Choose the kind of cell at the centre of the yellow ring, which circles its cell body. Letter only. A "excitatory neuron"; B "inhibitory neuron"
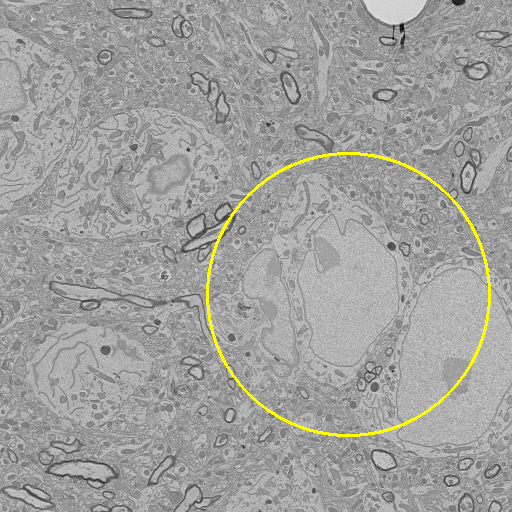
A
